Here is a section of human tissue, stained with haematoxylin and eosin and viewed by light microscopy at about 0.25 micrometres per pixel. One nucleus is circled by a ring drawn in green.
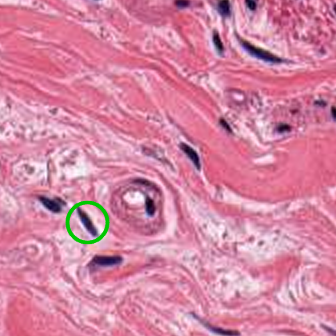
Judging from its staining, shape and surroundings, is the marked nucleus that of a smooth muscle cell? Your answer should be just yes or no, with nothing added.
no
